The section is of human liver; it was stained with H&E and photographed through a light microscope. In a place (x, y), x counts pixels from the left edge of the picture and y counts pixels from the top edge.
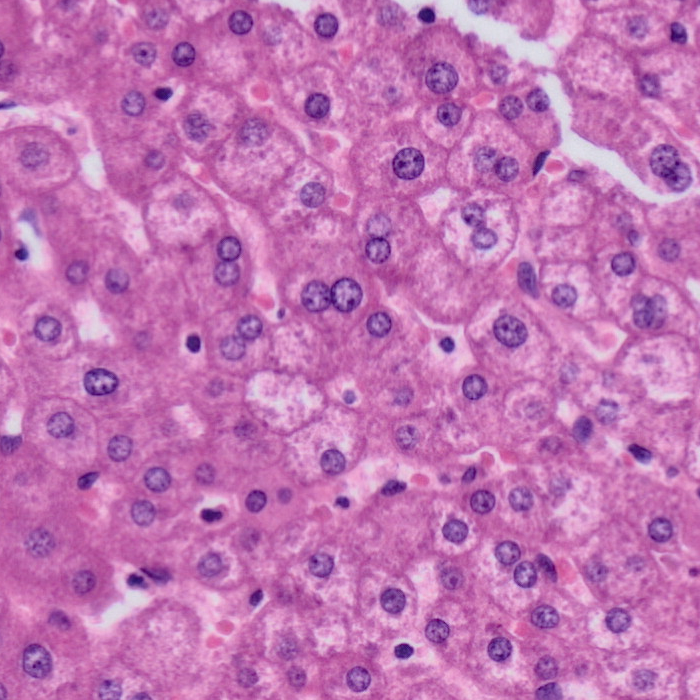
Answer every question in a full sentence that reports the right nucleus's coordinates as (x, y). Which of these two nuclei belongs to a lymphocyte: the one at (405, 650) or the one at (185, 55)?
Answering which nucleus it is: the one at (405, 650), belonging to a lymphocyte.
